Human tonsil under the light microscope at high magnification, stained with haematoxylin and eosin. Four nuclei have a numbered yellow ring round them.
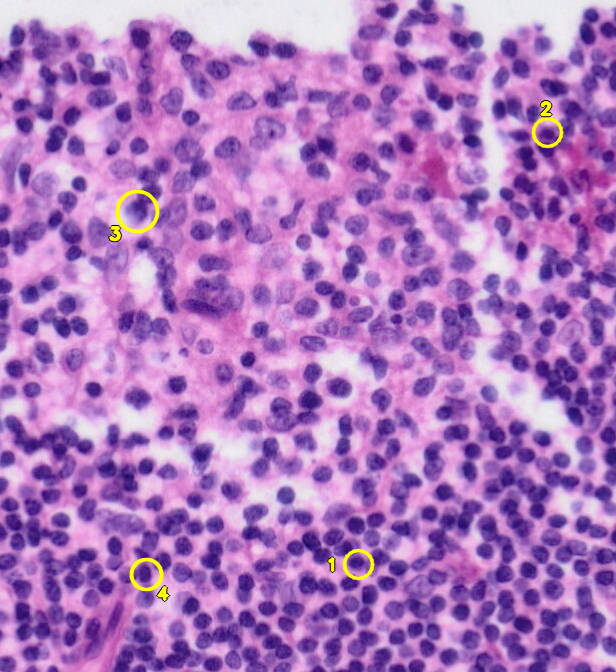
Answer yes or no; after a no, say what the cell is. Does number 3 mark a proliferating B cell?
Yes.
